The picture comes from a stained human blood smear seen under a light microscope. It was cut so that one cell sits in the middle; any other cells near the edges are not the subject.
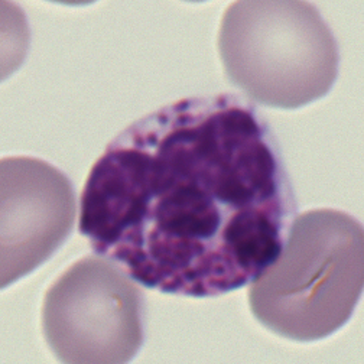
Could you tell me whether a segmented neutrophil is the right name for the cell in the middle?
no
